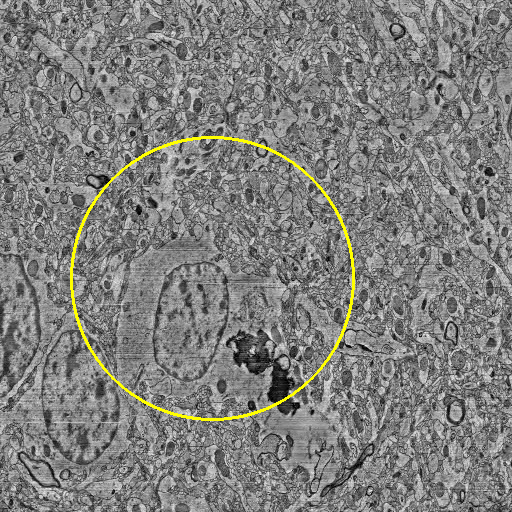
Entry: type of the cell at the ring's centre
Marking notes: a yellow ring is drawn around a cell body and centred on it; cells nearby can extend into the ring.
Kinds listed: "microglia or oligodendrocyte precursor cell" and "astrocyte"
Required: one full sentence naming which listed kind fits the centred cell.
My entry names an astrocyte as the cell whose body the yellow ring centres on.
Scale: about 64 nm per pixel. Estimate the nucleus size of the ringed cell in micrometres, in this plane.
Roughly 8 micrometres long and 5 micrometres wide; in this plane the nucleus is clearly longer than it is wide.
